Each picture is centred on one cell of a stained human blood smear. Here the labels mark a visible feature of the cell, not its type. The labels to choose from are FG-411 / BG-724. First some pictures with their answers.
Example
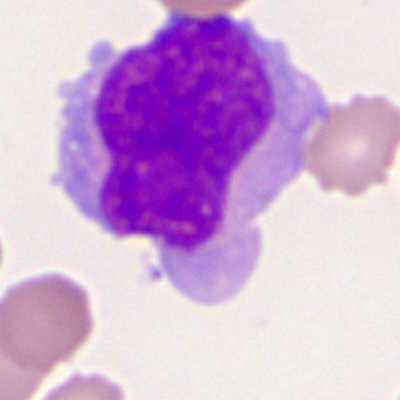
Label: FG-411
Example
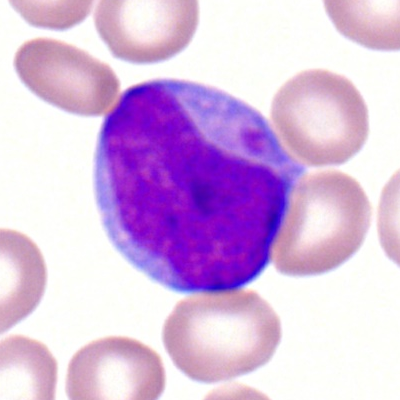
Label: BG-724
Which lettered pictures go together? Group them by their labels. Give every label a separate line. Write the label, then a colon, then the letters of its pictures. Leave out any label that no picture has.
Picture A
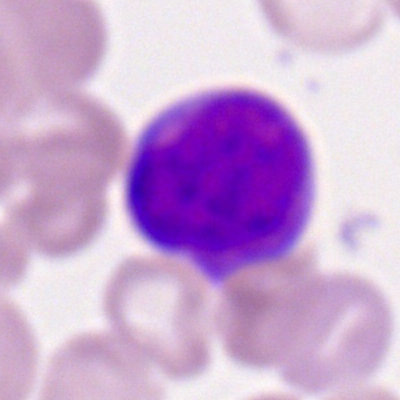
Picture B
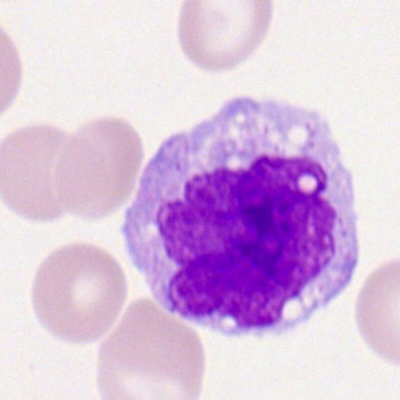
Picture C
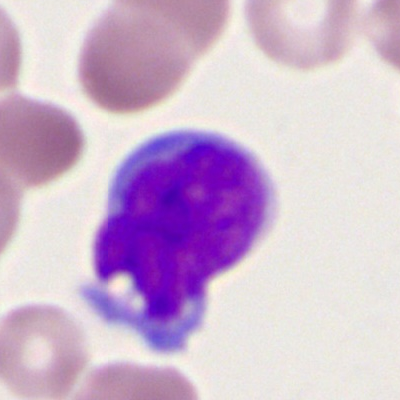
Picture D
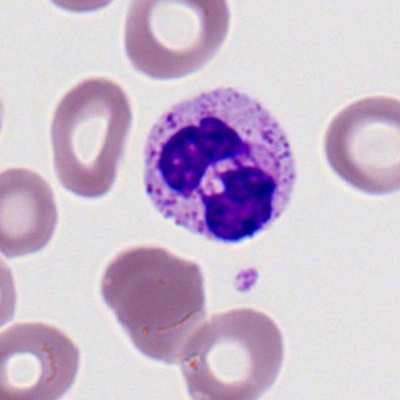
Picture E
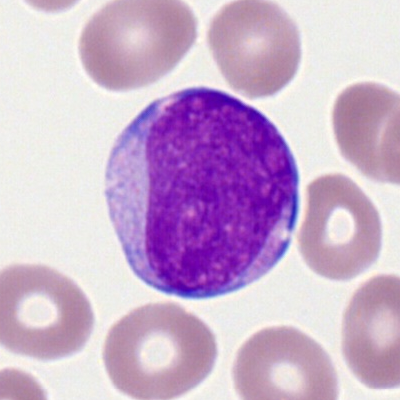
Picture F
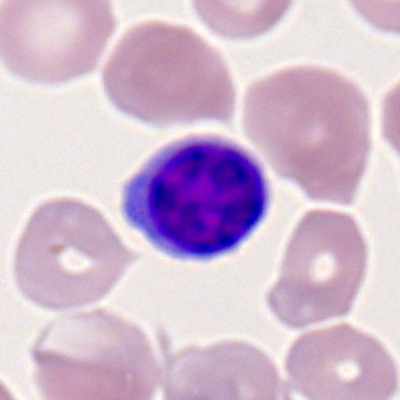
FG-411: A, B, C
BG-724: D, E, F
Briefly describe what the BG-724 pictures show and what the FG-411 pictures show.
In BG-724: smooth outline. In FG-411: ragged outline or projections.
